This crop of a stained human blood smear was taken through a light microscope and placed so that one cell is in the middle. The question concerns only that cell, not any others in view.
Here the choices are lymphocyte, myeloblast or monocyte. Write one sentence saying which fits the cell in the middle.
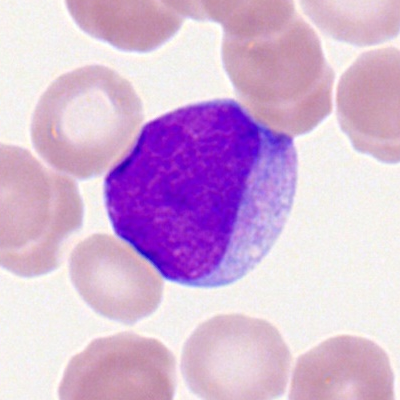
Among the cells in view, the one in the middle is a myeloblast.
